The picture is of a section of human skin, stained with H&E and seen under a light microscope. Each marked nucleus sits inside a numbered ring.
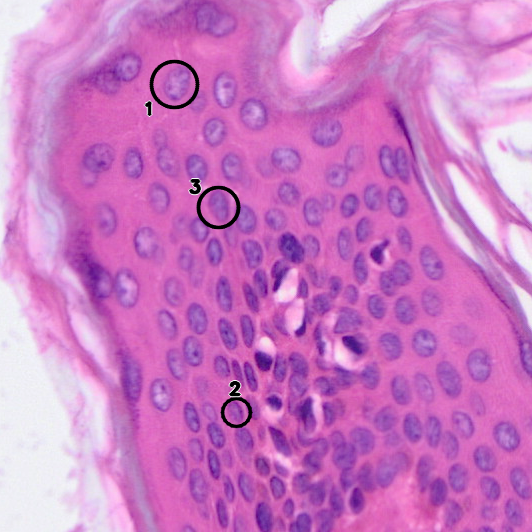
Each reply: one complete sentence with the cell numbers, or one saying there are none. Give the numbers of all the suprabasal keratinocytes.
Here, the cells that carry numbers 1 and 3 are suprabasal keratinocytes.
